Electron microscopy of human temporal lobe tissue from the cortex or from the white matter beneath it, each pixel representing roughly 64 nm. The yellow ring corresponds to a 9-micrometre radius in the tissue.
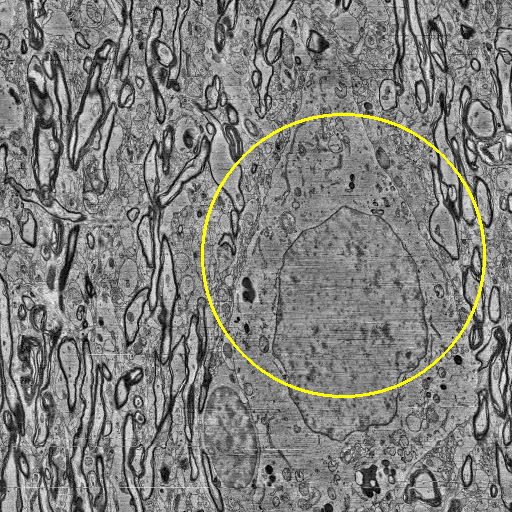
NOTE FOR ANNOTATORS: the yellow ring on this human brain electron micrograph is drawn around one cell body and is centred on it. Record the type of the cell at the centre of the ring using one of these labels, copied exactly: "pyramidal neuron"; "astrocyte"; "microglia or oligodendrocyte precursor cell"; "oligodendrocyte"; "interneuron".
pyramidal neuron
